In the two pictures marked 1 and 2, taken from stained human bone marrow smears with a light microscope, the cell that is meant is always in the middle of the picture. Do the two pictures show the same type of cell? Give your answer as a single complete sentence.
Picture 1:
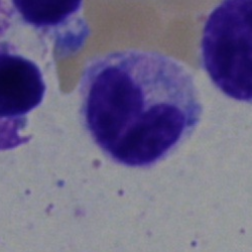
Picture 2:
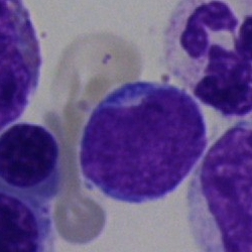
No. Picture 1 shows a metamyelocyte, but picture 2 shows a lymphocyte.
